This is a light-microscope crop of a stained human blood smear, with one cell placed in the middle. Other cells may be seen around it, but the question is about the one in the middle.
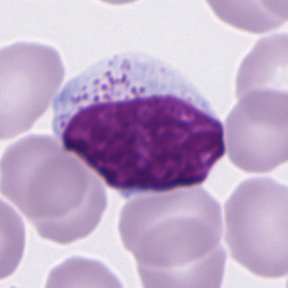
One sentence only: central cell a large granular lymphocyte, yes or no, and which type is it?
Yes, the middle cell is classified as a large granular lymphocyte.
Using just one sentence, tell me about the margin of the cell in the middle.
From every side, the cell boundary is smooth and free of projections.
